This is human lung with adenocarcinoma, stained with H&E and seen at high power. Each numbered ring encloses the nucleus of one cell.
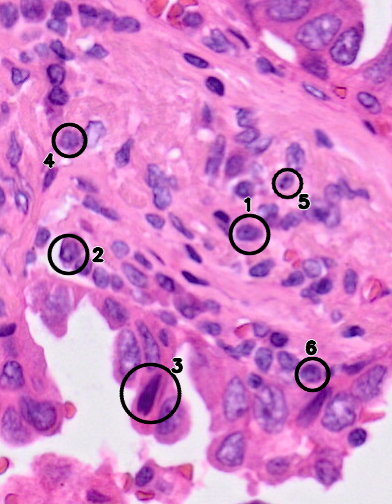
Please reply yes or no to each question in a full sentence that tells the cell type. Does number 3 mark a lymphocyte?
No, cell 3 is a carcinoma cell; it is not a lymphocyte.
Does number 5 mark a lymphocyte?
Yes, in this section the cell with number 5 is a lymphocyte.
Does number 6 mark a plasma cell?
No, cell 6 does not represent a plasma cell; it represents a lymphocyte.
